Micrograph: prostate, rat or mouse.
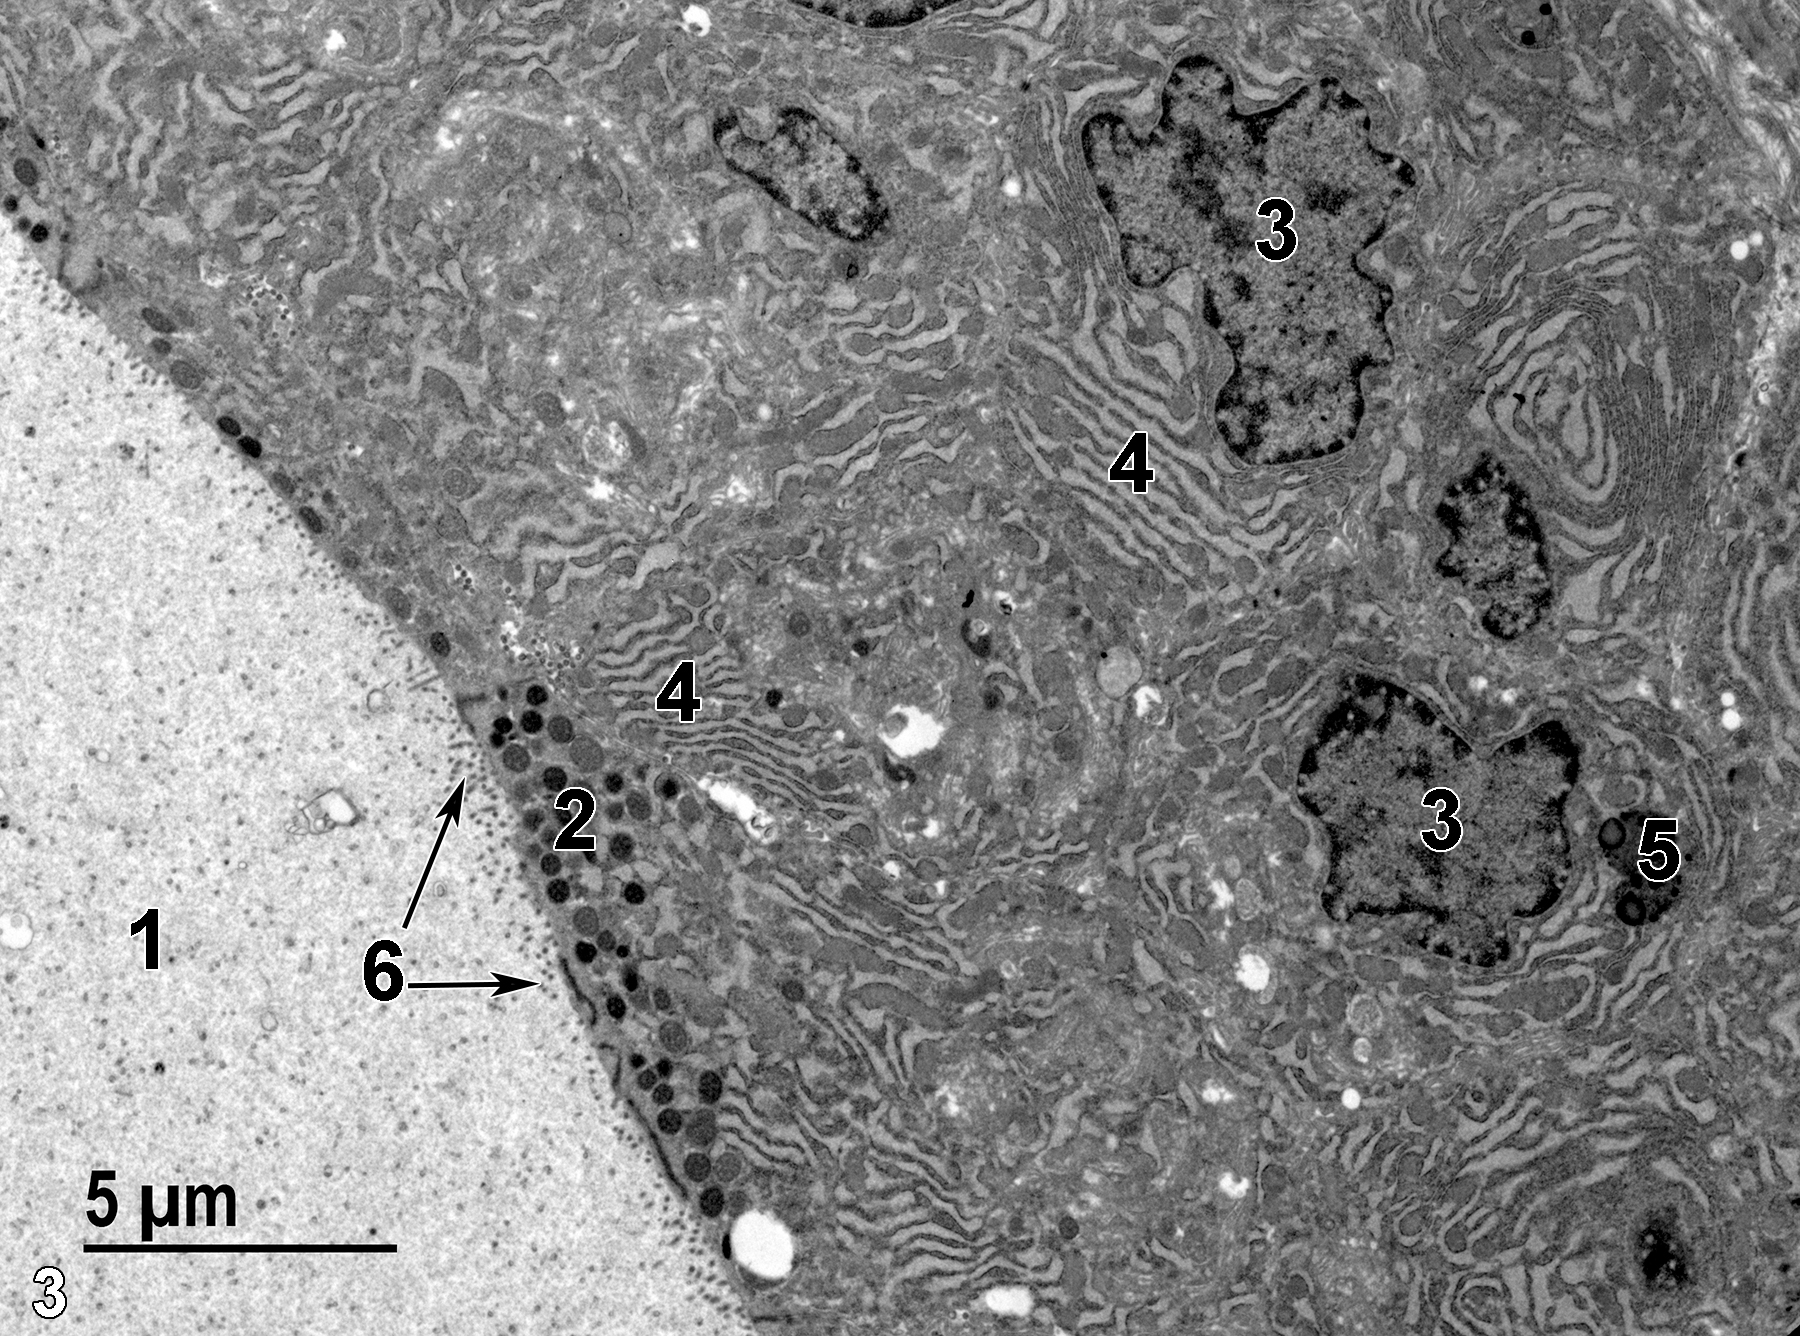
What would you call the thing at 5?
At 5: lysosome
